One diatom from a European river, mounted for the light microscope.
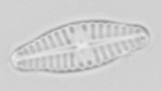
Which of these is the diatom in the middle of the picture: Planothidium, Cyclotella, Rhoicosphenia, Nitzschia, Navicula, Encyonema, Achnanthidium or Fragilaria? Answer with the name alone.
Planothidium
